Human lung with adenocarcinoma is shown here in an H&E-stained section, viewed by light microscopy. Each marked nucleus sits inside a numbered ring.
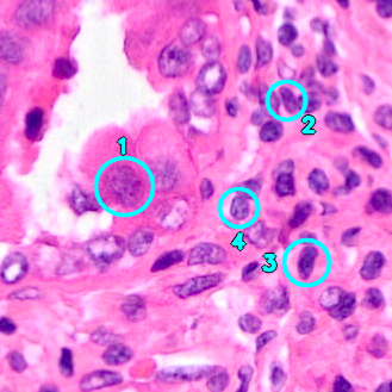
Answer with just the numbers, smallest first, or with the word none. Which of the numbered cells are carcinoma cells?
1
